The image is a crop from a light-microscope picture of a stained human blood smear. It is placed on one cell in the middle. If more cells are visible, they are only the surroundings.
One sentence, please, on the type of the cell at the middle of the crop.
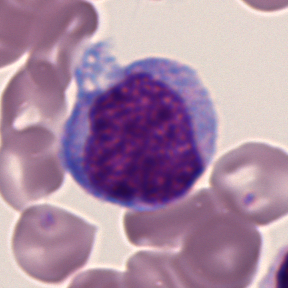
In this smear crop, the middle cell is a monocyte.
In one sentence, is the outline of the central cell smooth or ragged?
The cell membrane follows an uneven contour, either ragged or bearing projections.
